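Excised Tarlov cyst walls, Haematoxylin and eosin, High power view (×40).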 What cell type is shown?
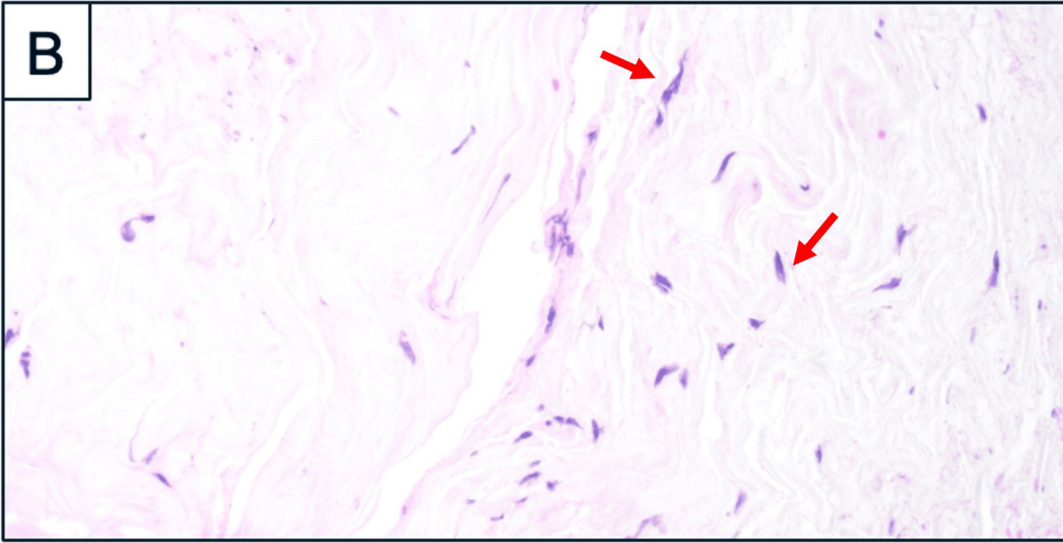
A: spindle cells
